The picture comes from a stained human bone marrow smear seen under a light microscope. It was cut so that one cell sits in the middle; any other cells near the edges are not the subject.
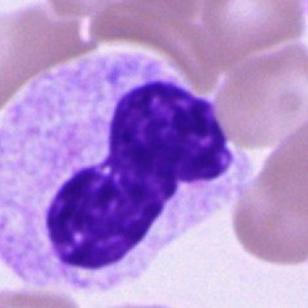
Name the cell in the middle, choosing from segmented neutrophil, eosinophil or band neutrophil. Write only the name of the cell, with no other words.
band neutrophil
